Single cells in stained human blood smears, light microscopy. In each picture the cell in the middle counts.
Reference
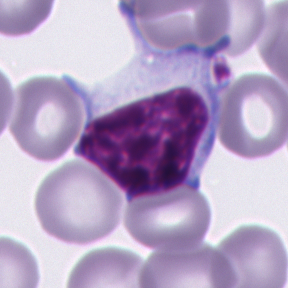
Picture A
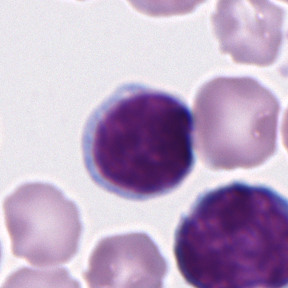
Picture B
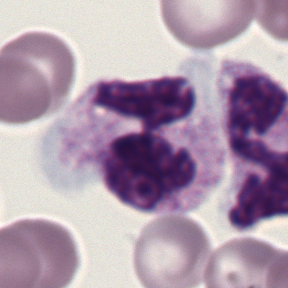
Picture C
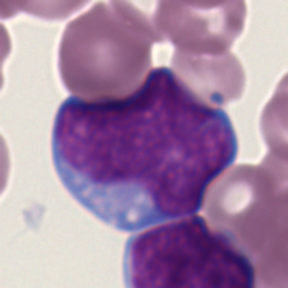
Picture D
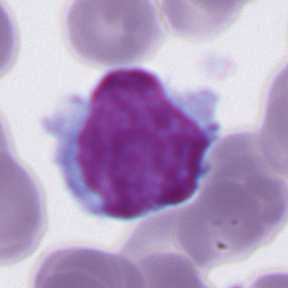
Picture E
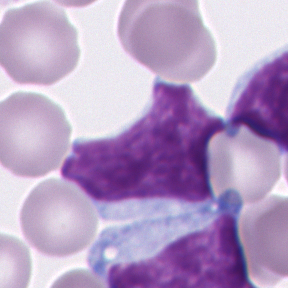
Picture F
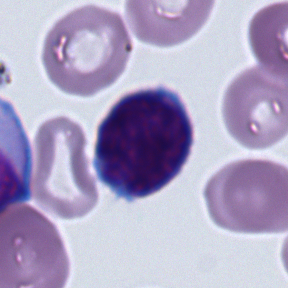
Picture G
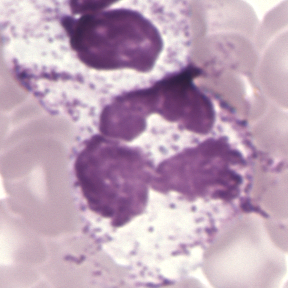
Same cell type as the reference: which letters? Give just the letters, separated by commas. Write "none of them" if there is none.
A, D, E, F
